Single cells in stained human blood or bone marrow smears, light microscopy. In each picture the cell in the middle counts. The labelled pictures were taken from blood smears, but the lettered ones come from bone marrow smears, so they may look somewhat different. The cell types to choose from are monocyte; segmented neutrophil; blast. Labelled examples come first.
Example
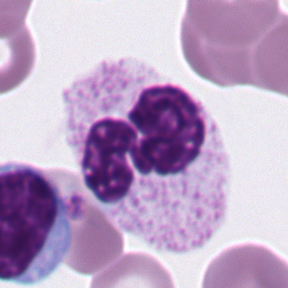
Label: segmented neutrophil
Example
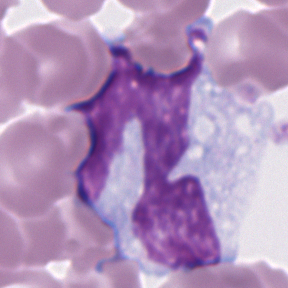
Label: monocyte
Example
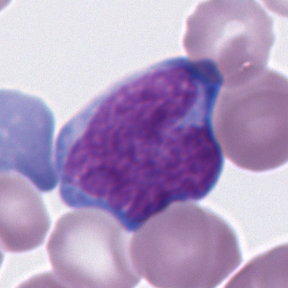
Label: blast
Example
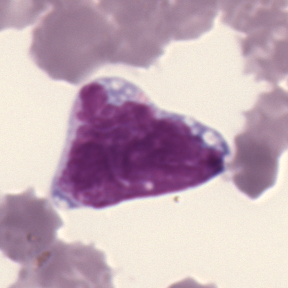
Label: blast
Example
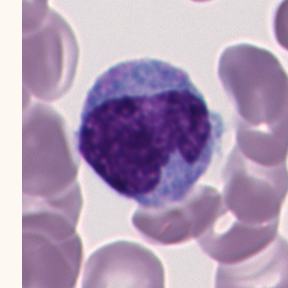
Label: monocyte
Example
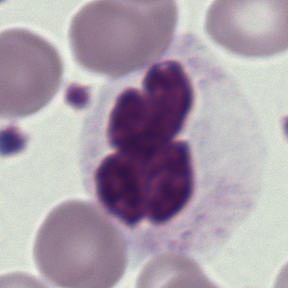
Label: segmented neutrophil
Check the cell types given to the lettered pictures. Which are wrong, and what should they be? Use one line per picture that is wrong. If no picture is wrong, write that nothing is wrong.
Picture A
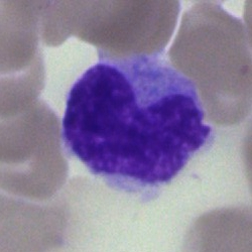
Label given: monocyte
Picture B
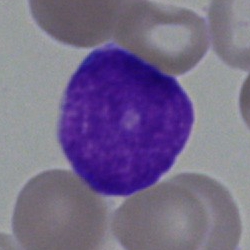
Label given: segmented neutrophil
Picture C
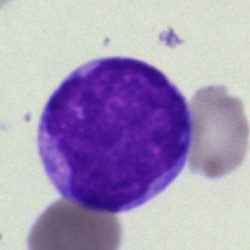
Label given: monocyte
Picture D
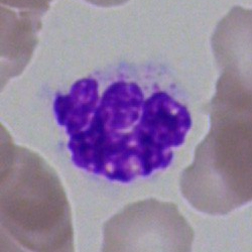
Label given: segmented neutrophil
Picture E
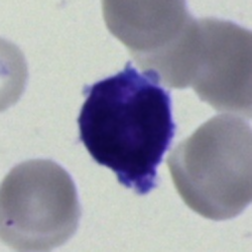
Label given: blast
B: change segmented neutrophil to blast
C: change monocyte to blast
